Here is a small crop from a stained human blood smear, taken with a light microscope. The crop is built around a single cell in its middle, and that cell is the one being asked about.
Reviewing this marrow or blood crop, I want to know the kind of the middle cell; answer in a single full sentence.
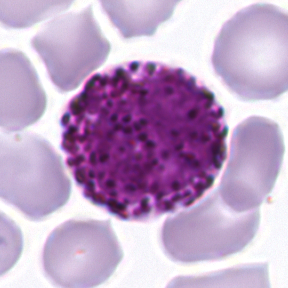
The centered cell in this crop is a basophil.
